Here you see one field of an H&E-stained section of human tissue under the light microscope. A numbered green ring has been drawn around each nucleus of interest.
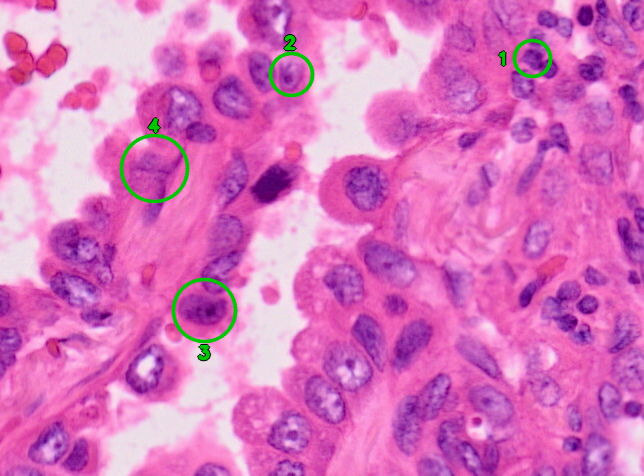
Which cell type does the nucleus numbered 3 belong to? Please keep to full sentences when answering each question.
Here, the cell given the number 3 is a carcinoma cell.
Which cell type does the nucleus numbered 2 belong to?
Of the numbered cells, the one labelled 2 is a carcinoma cell.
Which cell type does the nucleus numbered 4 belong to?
Here, the cell given the number 4 is a carcinoma cell.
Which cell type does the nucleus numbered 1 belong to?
It is as a lymphocyte that the cell numbered 1 is identified.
